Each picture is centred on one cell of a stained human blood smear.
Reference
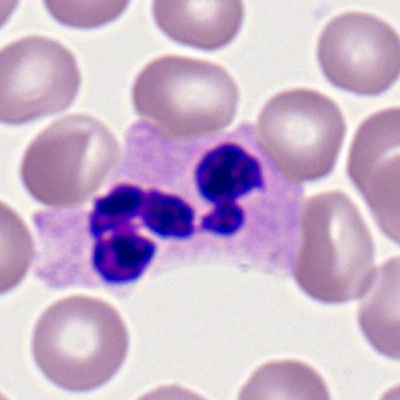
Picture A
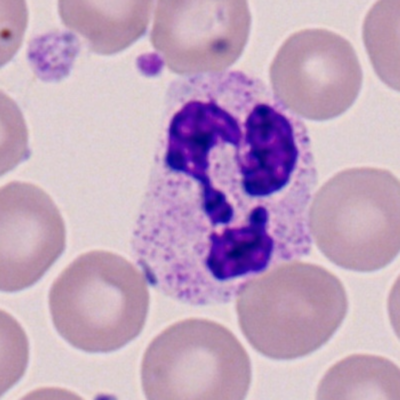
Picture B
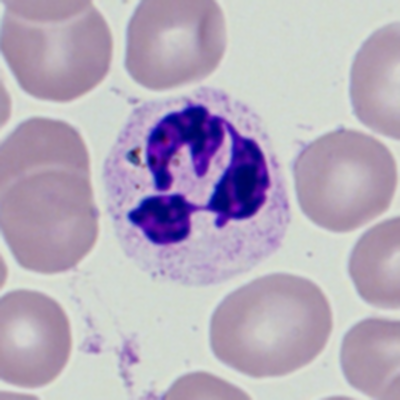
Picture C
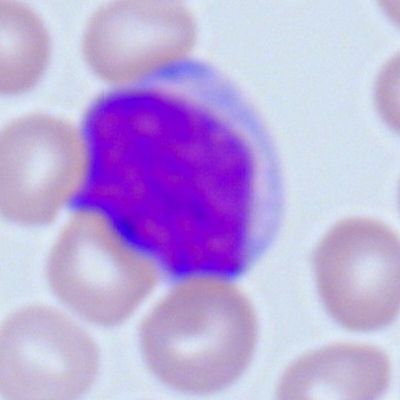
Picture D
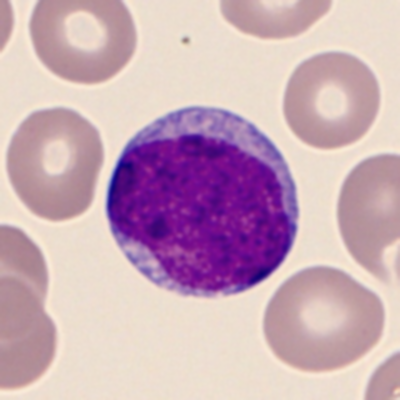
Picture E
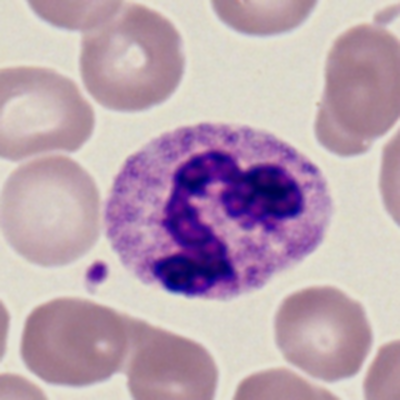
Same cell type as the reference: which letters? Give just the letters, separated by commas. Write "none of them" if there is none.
A, B, E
